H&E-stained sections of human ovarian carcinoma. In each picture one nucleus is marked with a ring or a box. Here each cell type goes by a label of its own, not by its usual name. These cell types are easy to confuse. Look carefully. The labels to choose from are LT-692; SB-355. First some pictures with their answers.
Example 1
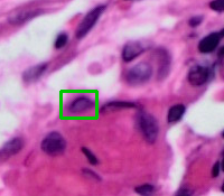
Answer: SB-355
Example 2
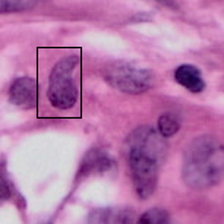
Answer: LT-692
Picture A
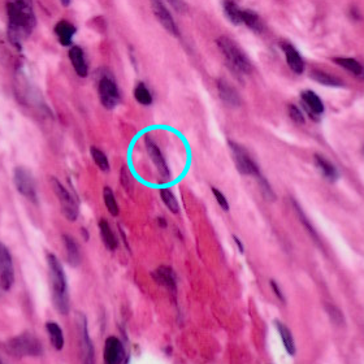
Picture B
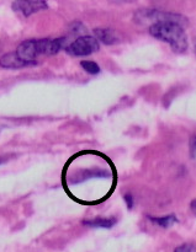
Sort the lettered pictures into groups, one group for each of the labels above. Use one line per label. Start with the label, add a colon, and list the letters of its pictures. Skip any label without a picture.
SB-355: A, B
